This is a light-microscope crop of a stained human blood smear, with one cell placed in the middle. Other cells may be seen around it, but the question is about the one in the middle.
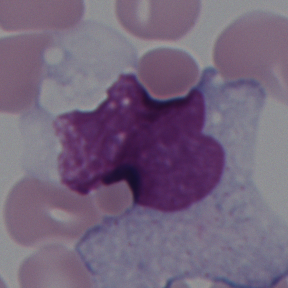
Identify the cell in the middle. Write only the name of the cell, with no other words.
monocyte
